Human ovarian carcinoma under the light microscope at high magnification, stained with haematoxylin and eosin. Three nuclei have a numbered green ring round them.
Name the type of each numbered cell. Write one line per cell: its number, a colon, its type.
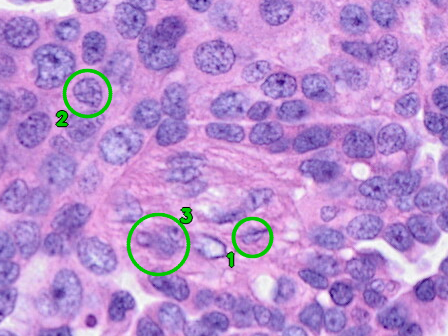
1: fibroblast
2: carcinoma cell
3: fibroblast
